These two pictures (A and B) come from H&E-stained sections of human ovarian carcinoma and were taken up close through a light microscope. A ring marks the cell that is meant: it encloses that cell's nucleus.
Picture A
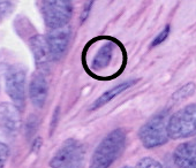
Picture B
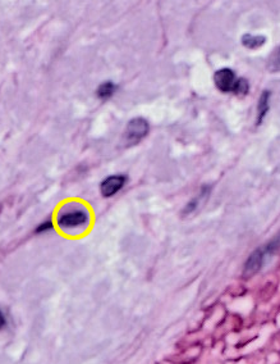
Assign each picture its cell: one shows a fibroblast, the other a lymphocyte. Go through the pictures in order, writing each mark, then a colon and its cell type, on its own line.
A: fibroblast
B: lymphocyte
